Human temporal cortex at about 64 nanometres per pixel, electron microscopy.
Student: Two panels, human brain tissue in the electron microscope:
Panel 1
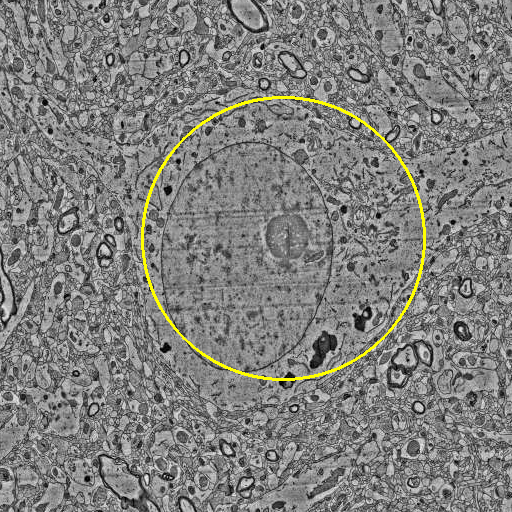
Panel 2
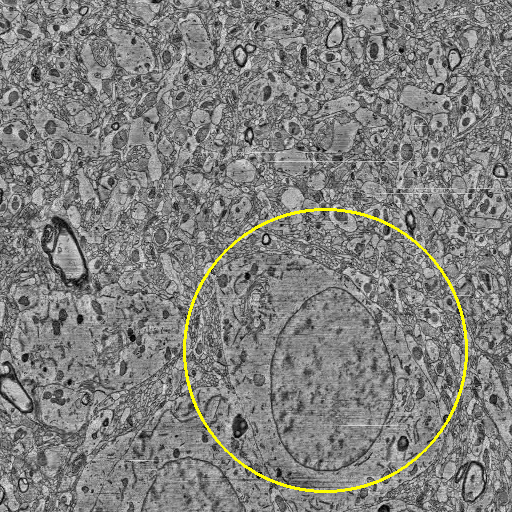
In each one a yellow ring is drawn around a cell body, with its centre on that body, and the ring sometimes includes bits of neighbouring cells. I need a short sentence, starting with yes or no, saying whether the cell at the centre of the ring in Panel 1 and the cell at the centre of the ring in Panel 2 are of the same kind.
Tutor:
Yes, they are the same kind of cell.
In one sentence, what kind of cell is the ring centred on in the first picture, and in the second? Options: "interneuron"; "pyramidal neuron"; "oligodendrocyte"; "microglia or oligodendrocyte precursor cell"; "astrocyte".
Each of the two rings is centred on a pyramidal neuron.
